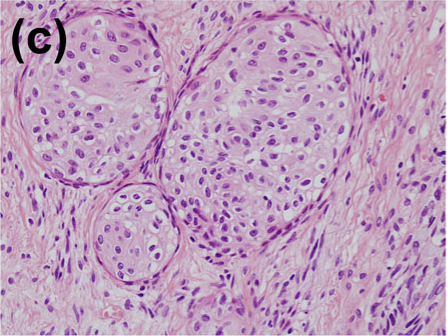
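These are well-defined nests of epithelial cells set in a spindle-cell stroma. Each nest is round and sharply bordered by a thin rim of flattened cells, separating it from the loose surrounding stroma with scattered spindled nuclei.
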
